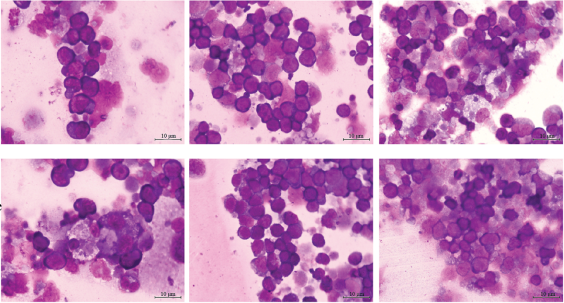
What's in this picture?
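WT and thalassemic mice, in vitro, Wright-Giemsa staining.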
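Most are round cells with large, round, densely stained dark purple nuclei. Each nucleus is surrounded by only a narrow rim of cytoplasm, which takes a purple to pinkish tint. The cells lie crowded together in clusters, often touching one another. Scattered among them, against a pale pink background, are paler, irregular, smudged cells and some debris. The cells vary somewhat in size and in how dark they stain, consistent with a population at different steps of red cell development.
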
